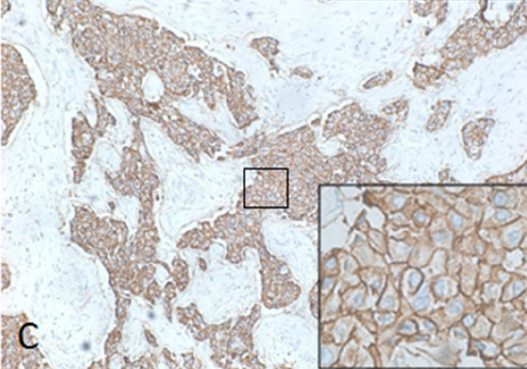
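Irregular nests and cords of closely packed epithelial cells lie in a pale, sparsely cellular fibrous stroma. The cells are polygonal with round to oval pale blue nuclei and moderate cytoplasm. A brown line outlines each cell at its membrane, giving a honeycomb or chicken-wire pattern in the enlarged inset. The nuclei themselves remain unstained, and the stroma between nests is free of brown colour.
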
